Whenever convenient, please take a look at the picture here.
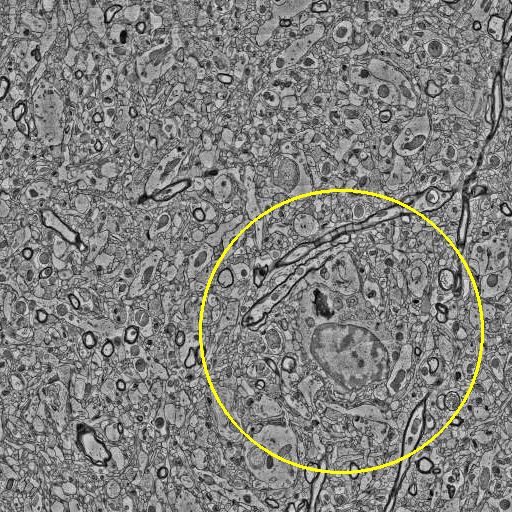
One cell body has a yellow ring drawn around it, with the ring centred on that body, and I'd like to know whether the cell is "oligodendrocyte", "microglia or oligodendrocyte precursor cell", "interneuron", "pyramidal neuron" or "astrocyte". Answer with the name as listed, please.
oligodendrocyte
